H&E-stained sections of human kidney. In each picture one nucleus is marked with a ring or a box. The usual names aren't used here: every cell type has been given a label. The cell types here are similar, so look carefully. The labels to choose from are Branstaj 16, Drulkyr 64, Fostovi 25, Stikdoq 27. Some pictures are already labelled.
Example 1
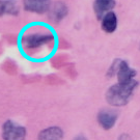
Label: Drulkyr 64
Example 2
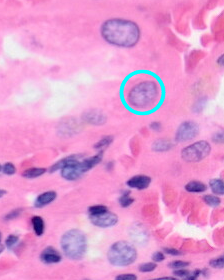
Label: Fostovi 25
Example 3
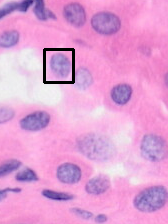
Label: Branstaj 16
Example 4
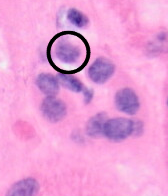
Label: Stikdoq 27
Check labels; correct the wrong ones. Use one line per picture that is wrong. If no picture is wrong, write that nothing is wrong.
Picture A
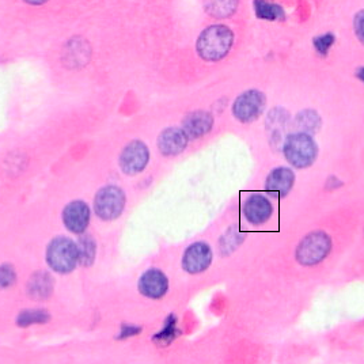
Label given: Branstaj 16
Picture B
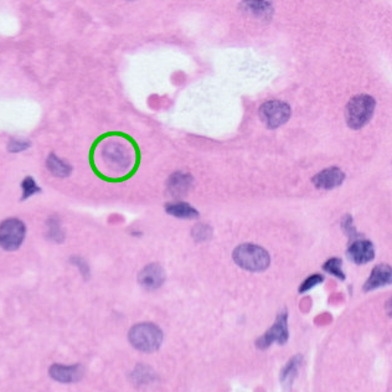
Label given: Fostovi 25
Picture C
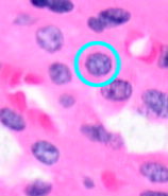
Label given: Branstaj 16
A is labelled Branstaj 16; correct label: Stikdoq 27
